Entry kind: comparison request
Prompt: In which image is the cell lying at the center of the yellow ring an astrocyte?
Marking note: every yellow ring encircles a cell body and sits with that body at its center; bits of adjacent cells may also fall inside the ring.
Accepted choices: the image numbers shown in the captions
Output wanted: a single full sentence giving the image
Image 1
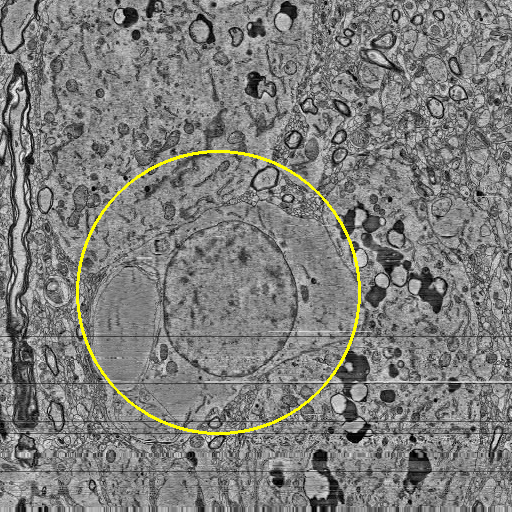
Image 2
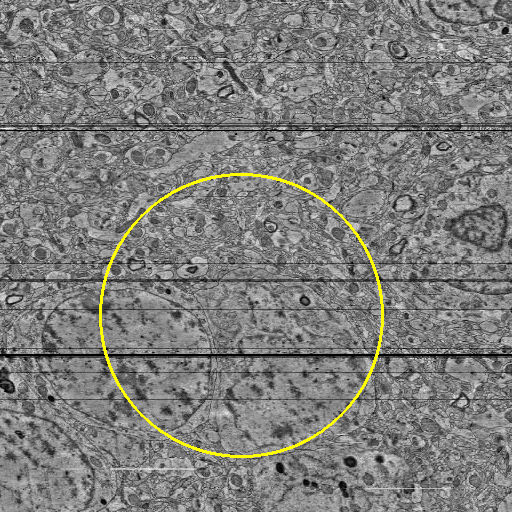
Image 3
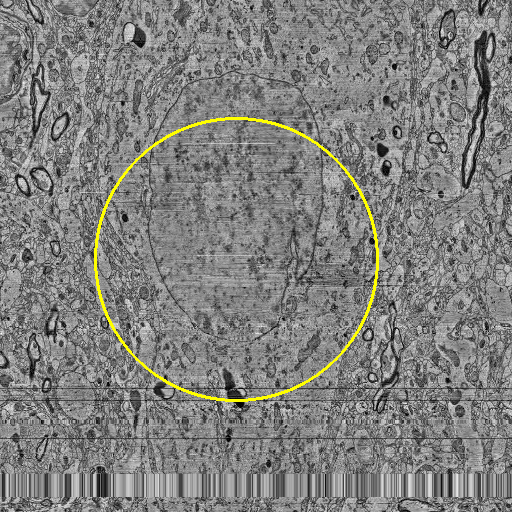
In image 1, the ringed cell at the center matches the prompt.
